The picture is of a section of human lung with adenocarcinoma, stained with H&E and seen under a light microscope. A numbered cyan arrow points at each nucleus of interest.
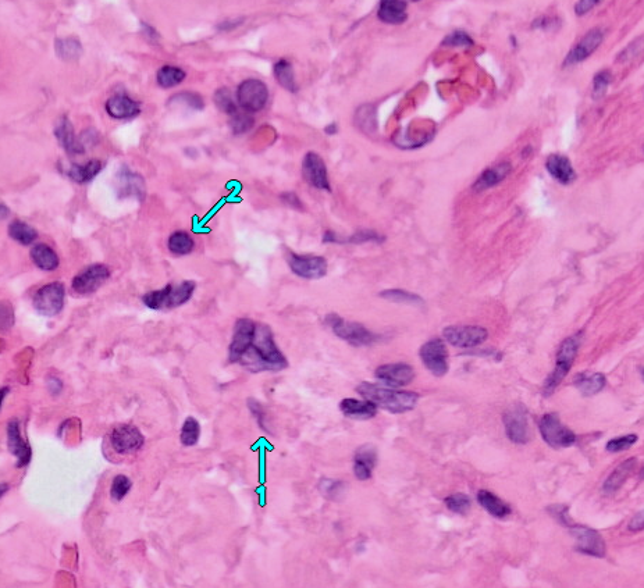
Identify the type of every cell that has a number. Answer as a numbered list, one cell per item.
1. fibroblast
2. mast cell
